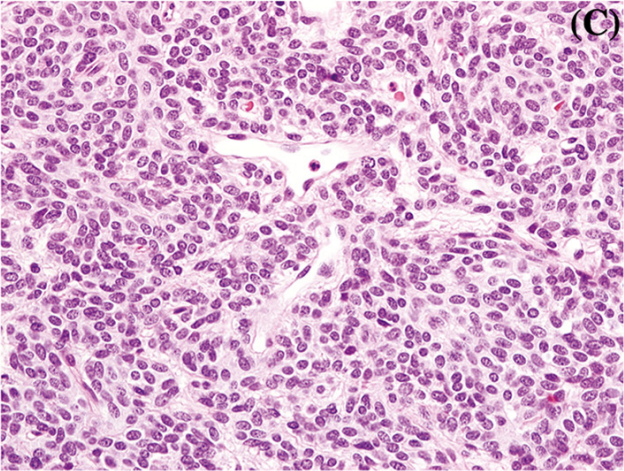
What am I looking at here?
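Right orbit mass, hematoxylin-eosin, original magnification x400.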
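Densely cellular tumour tissue composed of uniform cells arranged in solid sheets and nests, with thin-walled capillary-sized vessels running through it, some holding a few red blood cells. Some cells are more elongated and spindle-shaped. Borders between neighbouring cells cannot be made out, so nuclei seem to float in a shared pale cytoplasm. Delicate pale stroma separates the groups. Overall it is a monotonous round-to-ovoid cell tumour closely wrapped around small vessels.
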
